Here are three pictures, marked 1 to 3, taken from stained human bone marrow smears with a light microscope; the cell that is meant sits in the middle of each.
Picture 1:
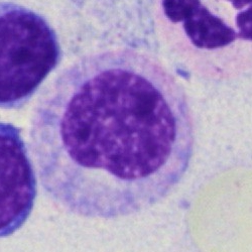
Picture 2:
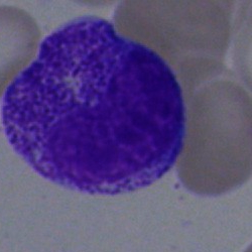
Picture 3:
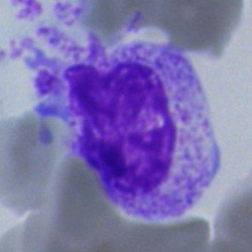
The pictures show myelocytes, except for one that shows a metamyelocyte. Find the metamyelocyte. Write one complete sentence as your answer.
Picture 2 shows the metamyelocyte.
